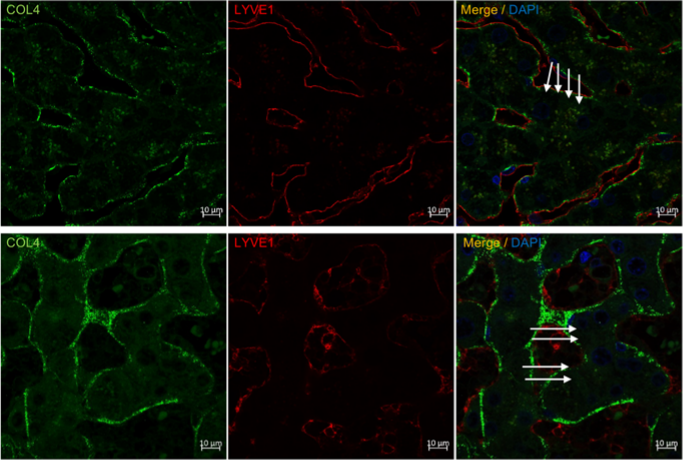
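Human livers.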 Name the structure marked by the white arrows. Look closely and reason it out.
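Blue nuclei lie in the tissue between the outlined channels. On this evidence: sinusoid.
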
